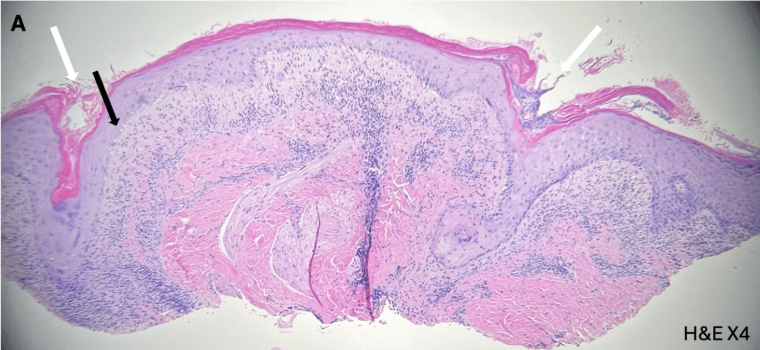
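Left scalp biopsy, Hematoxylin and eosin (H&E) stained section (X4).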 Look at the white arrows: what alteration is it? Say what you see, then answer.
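The arrows point to funnel-shaped openings in the skin surface. These openings are filled with pink layered keratin.
Conclusion: follicular plugging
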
